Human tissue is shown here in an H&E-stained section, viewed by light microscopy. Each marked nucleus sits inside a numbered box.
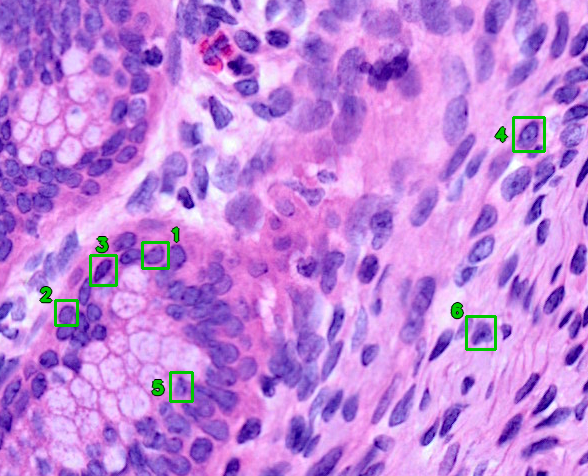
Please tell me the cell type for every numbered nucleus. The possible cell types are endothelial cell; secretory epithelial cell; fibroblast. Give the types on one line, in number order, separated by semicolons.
secretory epithelial cell; secretory epithelial cell; secretory epithelial cell; endothelial cell; secretory epithelial cell; fibroblast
